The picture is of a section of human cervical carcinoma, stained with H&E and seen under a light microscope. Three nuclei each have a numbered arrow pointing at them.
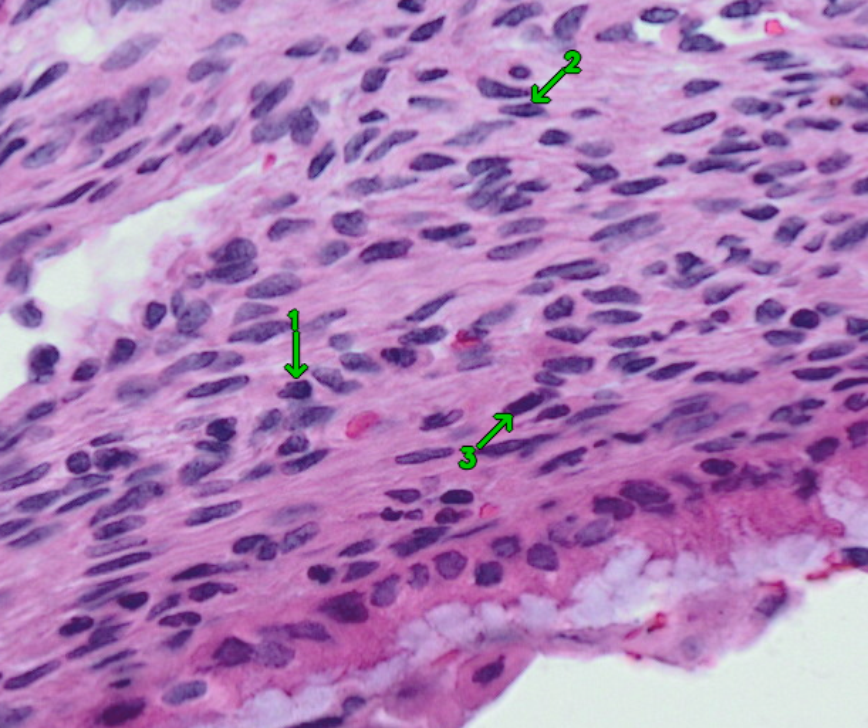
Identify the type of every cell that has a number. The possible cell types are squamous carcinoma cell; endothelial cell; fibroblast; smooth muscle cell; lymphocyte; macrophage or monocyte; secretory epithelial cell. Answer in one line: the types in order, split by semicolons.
lymphocyte; fibroblast; lymphocyte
